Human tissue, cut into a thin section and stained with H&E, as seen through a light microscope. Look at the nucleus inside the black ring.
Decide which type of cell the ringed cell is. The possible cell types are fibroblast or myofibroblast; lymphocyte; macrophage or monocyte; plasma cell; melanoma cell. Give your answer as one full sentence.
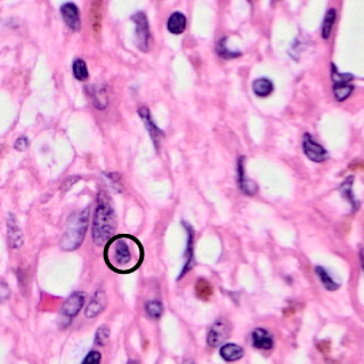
So far as cell type goes, the ringed cell is a lymphocyte.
